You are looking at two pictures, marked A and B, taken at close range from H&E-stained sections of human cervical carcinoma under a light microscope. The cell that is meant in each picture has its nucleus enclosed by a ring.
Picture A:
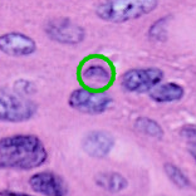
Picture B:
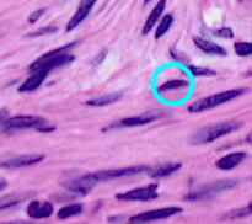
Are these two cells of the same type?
no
